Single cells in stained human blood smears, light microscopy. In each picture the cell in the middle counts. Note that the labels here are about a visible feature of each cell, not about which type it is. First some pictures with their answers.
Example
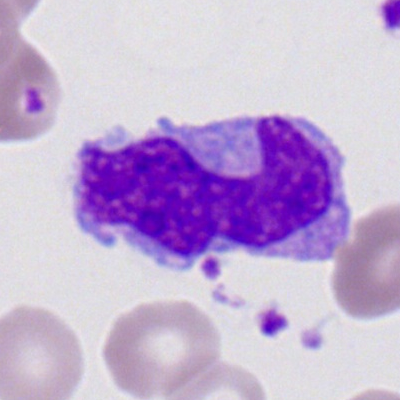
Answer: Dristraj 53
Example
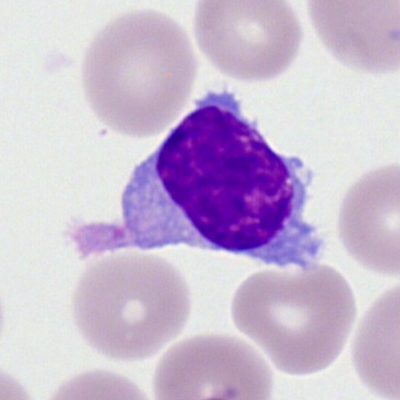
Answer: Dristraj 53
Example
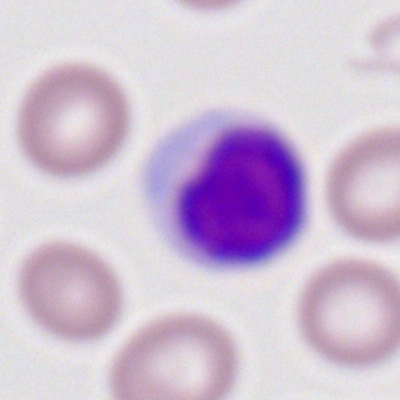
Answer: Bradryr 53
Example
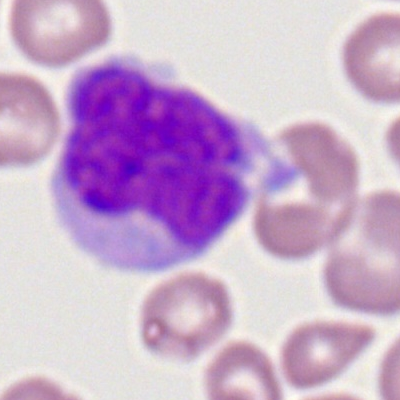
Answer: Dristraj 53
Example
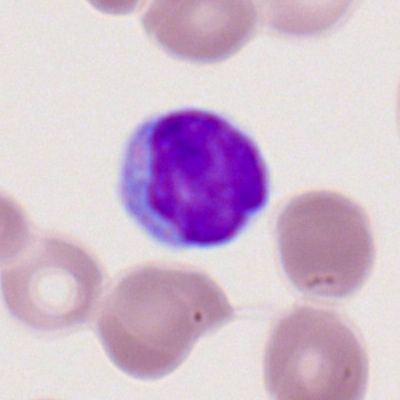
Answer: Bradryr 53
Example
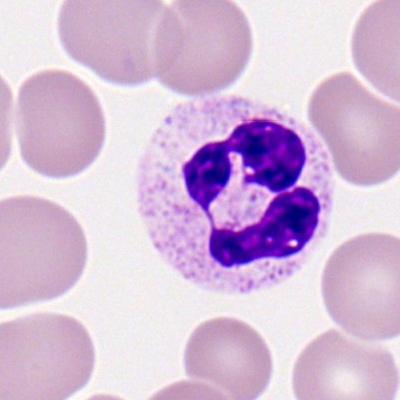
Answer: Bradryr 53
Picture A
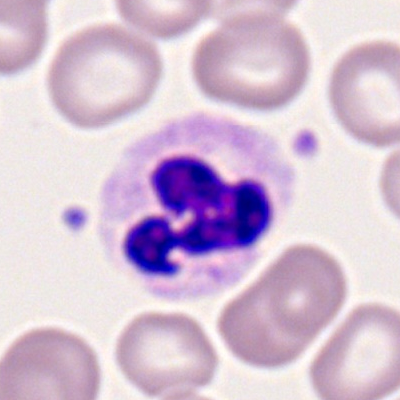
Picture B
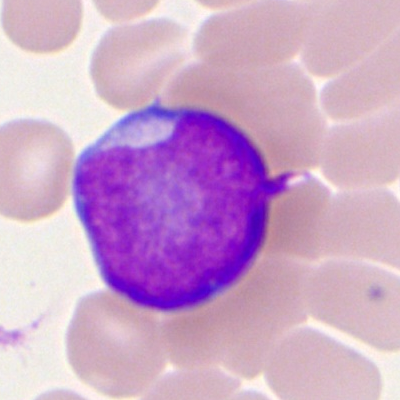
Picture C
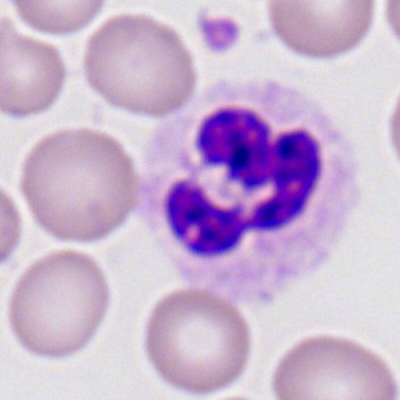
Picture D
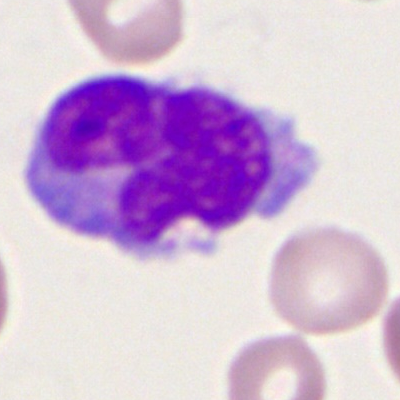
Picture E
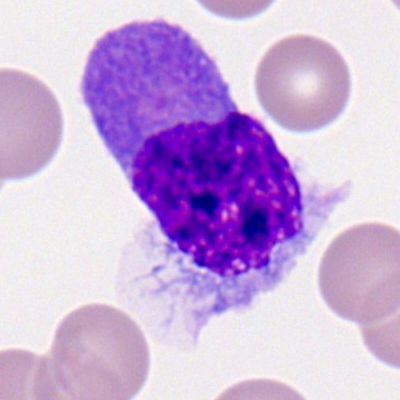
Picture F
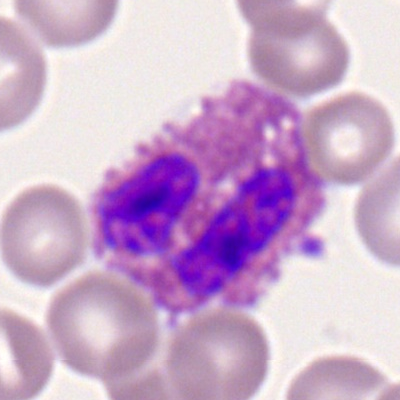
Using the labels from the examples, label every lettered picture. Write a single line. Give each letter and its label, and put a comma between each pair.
A Dristraj 53, B Dristraj 53, C Dristraj 53, D Dristraj 53, E Dristraj 53, F Dristraj 53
